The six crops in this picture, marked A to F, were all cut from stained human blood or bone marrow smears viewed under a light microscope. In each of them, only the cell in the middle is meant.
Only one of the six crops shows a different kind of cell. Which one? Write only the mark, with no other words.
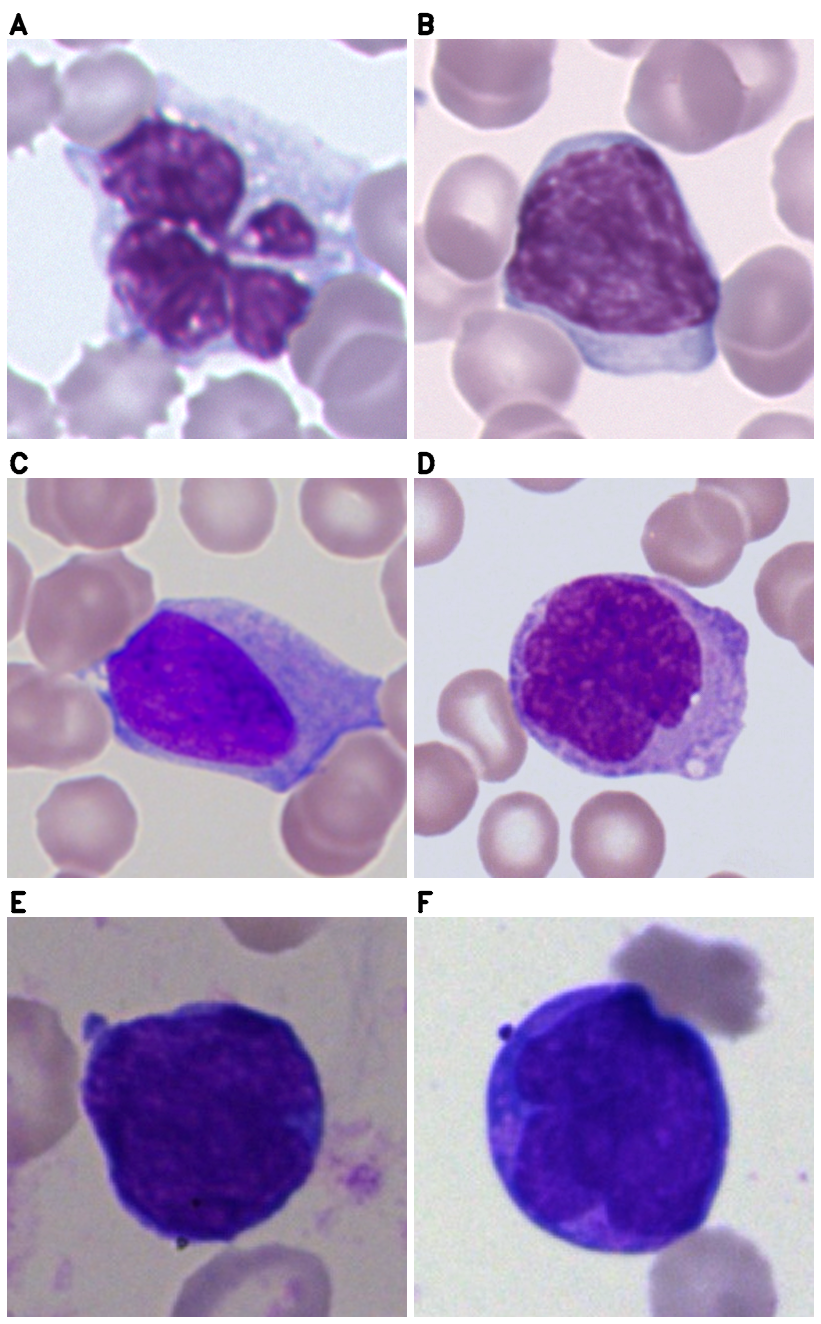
A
